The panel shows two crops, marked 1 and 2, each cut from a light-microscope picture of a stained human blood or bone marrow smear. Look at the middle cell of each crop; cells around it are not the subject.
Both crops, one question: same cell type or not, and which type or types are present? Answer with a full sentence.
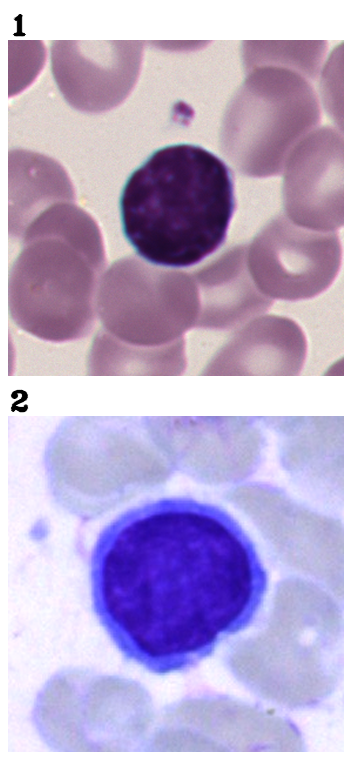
Yes, both crops in the pair show lymphocytes.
